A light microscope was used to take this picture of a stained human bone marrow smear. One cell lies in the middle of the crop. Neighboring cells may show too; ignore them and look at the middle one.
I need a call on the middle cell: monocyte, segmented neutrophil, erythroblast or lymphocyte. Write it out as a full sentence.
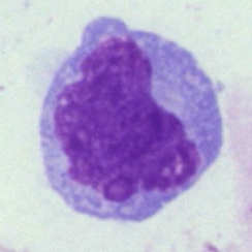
In short, the cell at the center is a monocyte.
